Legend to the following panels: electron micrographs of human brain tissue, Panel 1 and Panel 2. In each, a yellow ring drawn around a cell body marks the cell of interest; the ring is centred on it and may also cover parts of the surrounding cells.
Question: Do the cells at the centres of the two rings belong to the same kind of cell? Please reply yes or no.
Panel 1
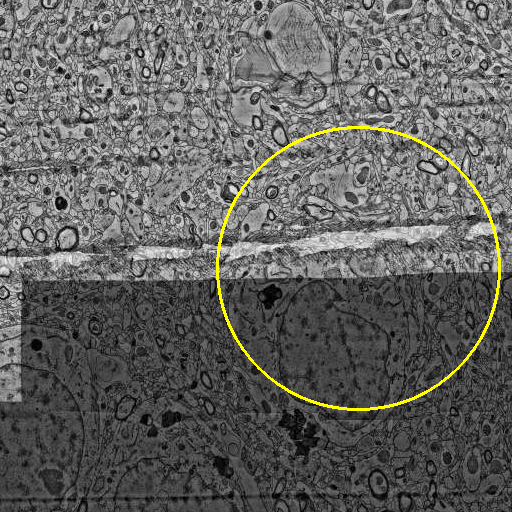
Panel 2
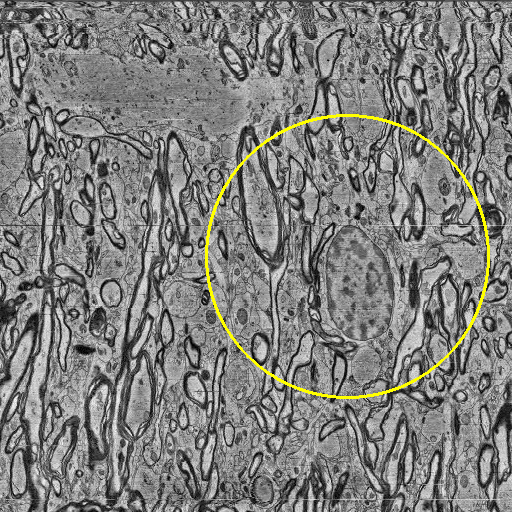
no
